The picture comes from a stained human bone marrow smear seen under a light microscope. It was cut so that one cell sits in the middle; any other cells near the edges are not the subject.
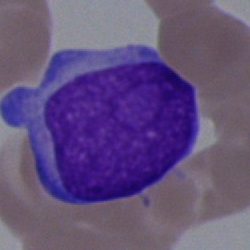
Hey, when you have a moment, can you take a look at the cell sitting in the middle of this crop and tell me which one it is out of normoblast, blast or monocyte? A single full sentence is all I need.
Centrally within this crop lies a blast.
